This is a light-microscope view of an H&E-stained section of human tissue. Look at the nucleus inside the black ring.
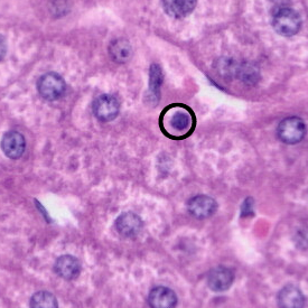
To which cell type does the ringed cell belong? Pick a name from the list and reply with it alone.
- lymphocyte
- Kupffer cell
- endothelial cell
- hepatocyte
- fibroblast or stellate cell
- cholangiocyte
lymphocyte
